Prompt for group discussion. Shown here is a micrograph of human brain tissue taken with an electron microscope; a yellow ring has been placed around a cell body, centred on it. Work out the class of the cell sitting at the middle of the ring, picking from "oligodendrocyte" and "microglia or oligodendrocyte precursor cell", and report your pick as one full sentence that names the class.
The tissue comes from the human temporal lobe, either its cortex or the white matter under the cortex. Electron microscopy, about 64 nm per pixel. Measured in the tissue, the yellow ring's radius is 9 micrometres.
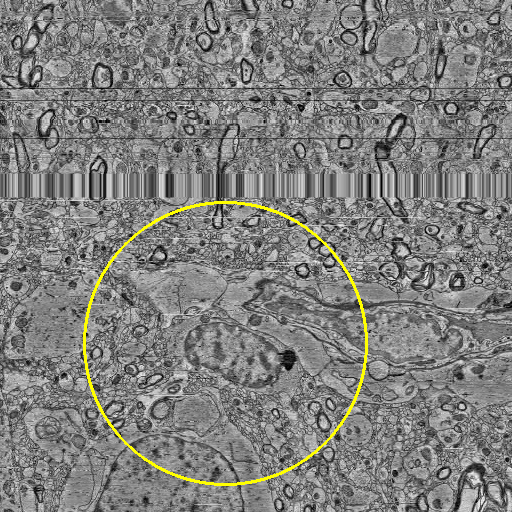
The cell sitting at the middle of the yellow ring is an oligodendrocyte.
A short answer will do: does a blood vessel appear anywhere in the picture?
Yes, there is a blood vessel in the image.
